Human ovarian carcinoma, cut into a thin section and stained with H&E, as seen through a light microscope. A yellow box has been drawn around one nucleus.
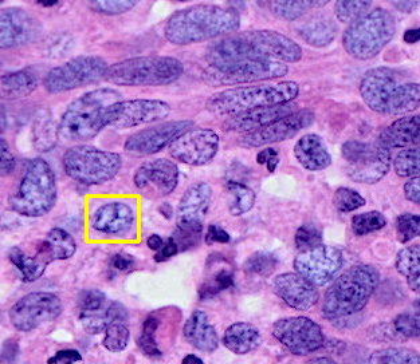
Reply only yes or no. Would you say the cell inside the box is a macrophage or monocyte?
yes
